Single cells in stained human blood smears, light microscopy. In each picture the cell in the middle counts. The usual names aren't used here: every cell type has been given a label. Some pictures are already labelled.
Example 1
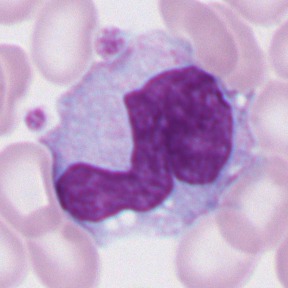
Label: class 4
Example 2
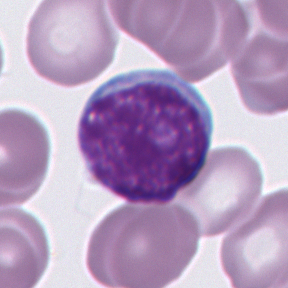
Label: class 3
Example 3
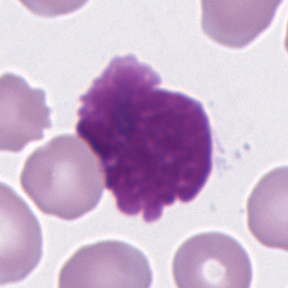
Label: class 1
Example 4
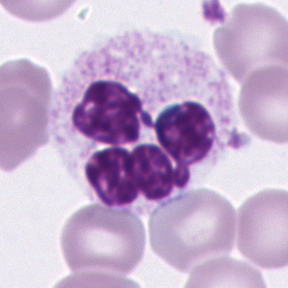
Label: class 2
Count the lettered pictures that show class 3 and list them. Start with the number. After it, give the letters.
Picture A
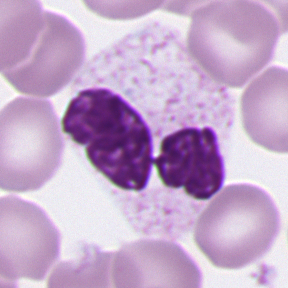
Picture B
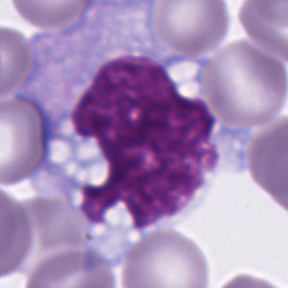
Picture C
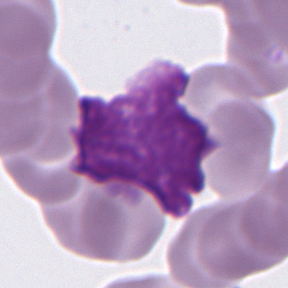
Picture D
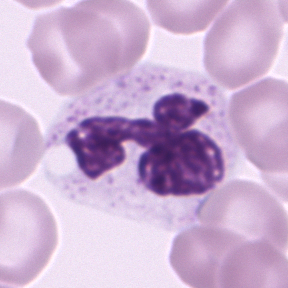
0, none of them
